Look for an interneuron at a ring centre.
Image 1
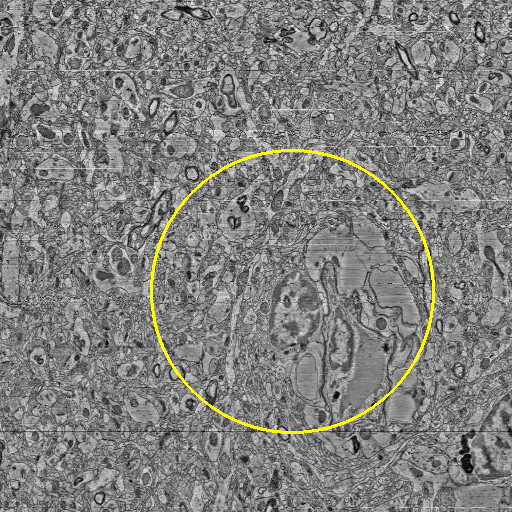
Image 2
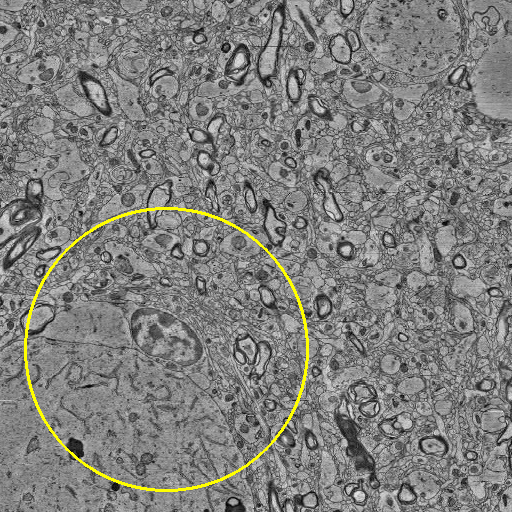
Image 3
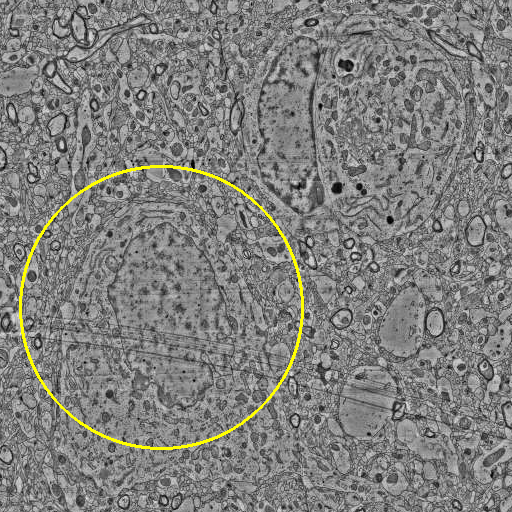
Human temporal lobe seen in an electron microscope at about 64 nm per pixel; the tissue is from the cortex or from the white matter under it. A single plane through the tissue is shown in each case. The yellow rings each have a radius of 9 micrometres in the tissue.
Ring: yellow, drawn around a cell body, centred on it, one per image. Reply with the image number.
3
